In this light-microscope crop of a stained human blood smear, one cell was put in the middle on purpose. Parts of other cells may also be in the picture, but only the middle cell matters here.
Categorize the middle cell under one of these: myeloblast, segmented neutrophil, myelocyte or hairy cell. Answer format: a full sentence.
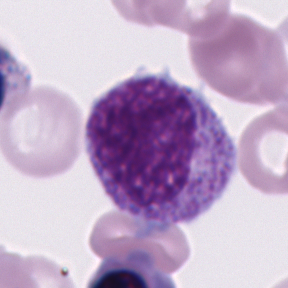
The cell found in the middle of this crop is a myelocyte.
